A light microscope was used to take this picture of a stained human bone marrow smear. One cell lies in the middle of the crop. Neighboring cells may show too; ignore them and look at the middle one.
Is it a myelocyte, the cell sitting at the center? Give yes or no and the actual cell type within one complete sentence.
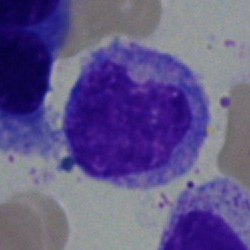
No, the central cell is properly termed a monocyte, not a myelocyte.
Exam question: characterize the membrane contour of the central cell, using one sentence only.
The border of this cell runs smooth and free of any projections.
